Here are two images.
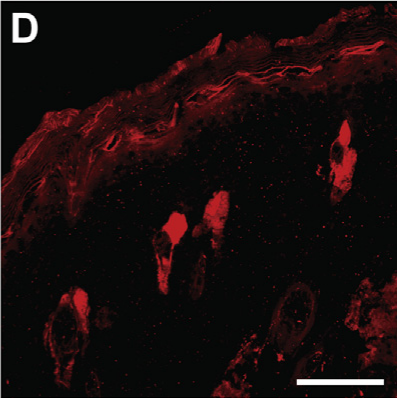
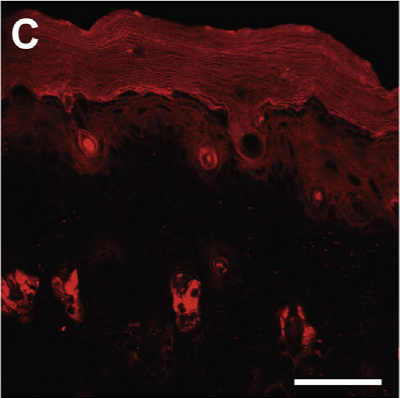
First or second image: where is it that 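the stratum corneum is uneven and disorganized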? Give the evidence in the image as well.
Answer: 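First image: the upper red band is thin and irregular, with lamellae that are fragmented, separated and uneven in brightness. Second image: the upper red band is thick and even, made of many regularly stacked parallel wavy lamellae.
Conclusion: the first image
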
